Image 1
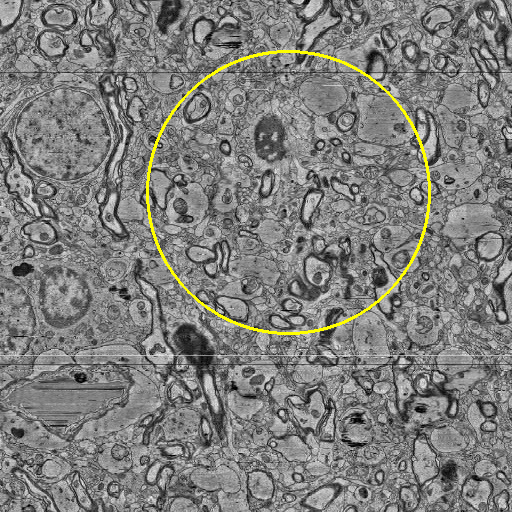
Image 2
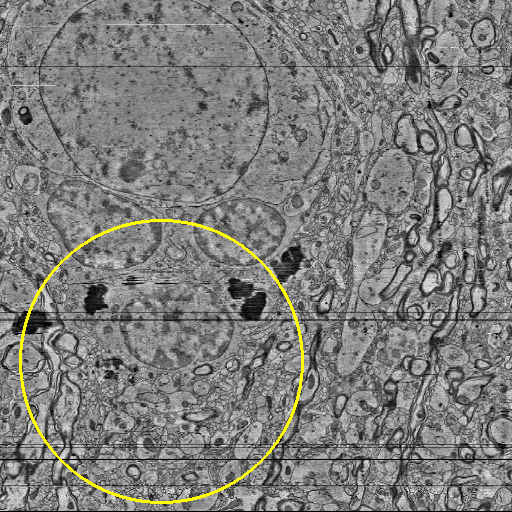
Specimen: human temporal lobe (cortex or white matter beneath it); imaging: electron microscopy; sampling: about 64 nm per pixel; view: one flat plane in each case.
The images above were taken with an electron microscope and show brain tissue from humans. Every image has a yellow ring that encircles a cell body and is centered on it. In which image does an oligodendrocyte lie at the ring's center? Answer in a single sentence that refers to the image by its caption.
In Image 2, the cell at the center of the yellow ring is the correct match.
